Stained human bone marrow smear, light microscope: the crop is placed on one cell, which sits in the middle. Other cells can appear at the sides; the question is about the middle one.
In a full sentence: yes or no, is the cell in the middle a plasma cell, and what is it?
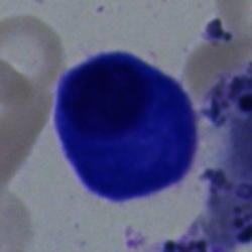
Yes, the cell found in the middle is a plasma cell.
